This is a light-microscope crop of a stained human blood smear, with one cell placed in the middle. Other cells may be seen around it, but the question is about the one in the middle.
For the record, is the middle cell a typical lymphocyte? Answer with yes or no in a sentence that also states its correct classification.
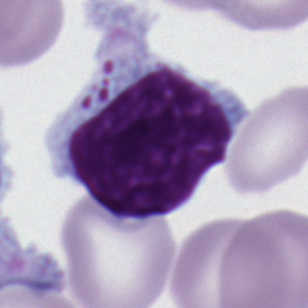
No, the cell in the middle is not a typical lymphocyte but a large granular lymphocyte.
